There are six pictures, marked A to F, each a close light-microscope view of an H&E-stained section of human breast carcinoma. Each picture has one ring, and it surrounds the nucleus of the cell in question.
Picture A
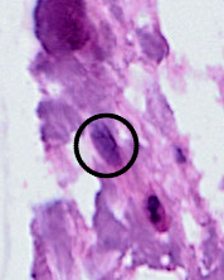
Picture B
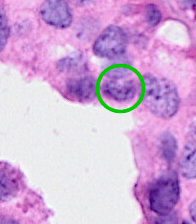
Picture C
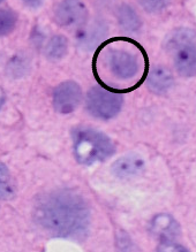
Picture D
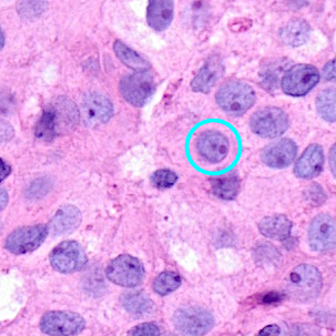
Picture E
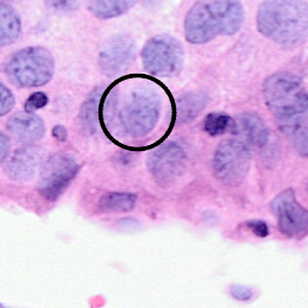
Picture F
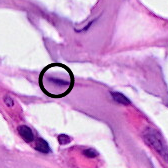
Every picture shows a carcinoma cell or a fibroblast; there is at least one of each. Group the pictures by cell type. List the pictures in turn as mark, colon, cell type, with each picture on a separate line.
A: fibroblast
B: carcinoma cell
C: carcinoma cell
D: carcinoma cell
E: carcinoma cell
F: fibroblast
